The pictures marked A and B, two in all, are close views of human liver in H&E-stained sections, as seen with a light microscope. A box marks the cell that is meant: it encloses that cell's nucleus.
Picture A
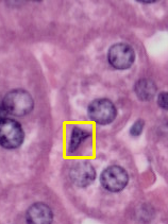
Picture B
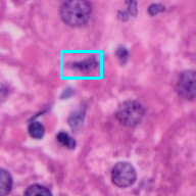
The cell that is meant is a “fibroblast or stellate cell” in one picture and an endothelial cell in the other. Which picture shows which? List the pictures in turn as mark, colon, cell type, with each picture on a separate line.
A: fibroblast or stellate cell
B: endothelial cell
